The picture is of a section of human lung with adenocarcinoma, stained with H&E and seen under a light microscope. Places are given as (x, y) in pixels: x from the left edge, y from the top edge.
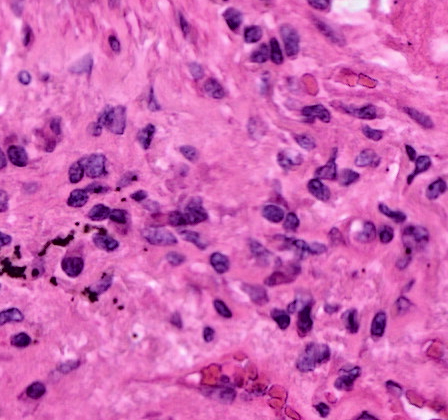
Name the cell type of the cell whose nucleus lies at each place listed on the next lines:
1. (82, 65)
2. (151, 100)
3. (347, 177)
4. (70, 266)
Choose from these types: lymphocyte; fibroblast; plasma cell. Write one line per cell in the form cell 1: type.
cell 1: fibroblast
cell 2: fibroblast
cell 3: lymphocyte
cell 4: plasma cell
